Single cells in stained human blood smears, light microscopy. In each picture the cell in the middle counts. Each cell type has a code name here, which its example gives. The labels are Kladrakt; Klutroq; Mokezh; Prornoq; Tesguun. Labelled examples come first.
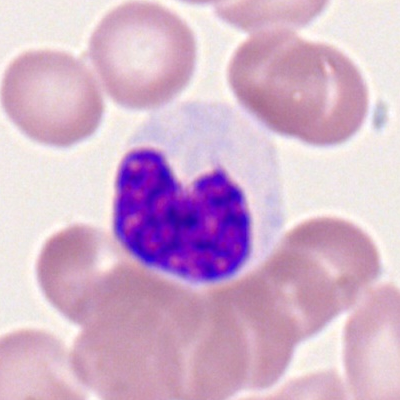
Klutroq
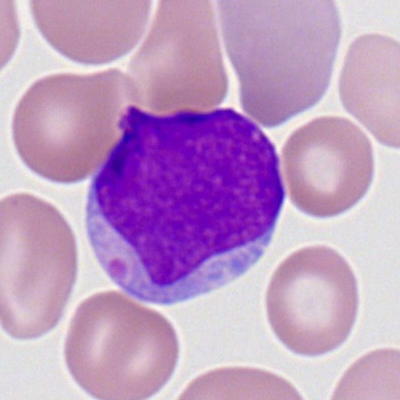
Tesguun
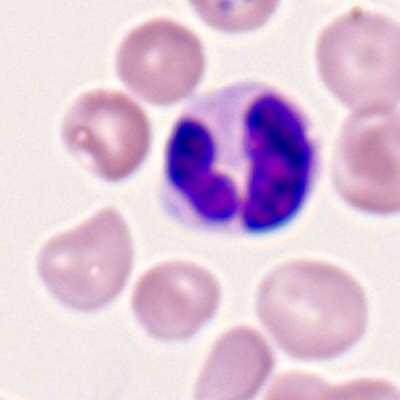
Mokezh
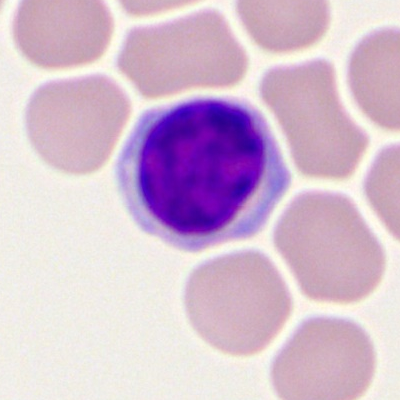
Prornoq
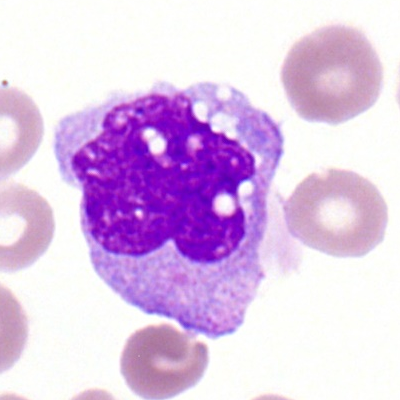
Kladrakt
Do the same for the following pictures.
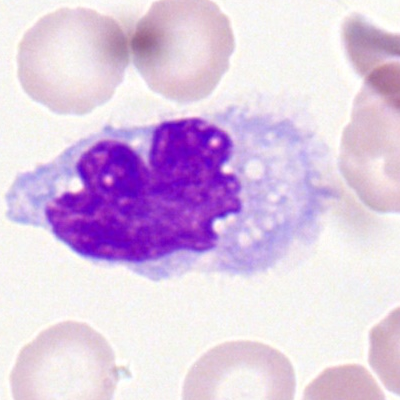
Kladrakt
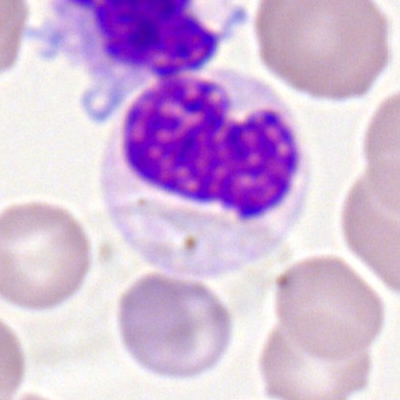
Klutroq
